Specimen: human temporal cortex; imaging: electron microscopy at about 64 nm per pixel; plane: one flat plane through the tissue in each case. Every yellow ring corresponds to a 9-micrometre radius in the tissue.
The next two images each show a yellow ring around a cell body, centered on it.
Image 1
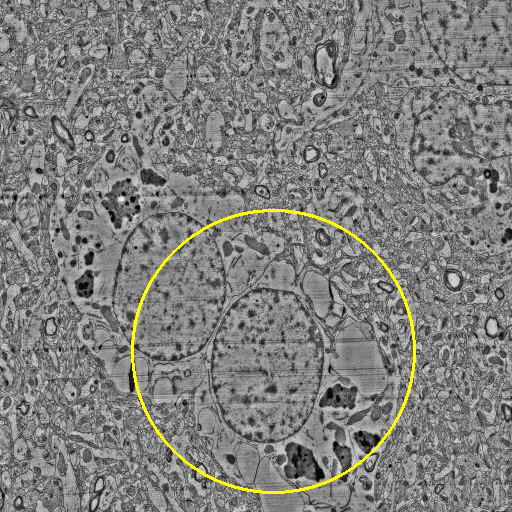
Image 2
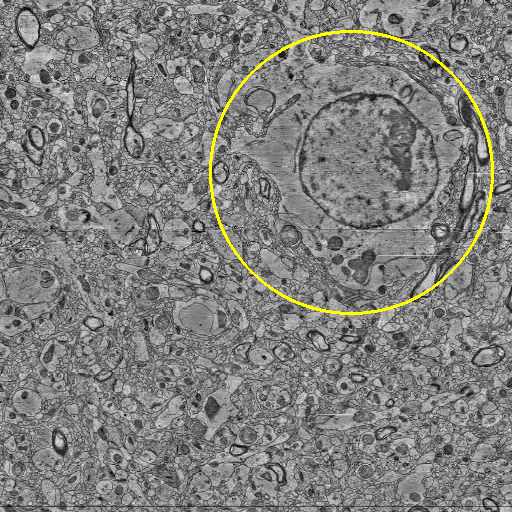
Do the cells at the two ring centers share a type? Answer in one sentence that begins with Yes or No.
Yes, across the two images the cells at the ring centers share one type.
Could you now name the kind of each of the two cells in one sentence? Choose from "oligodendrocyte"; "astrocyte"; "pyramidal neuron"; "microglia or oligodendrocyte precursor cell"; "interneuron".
The first and the second cell are each an astrocyte.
